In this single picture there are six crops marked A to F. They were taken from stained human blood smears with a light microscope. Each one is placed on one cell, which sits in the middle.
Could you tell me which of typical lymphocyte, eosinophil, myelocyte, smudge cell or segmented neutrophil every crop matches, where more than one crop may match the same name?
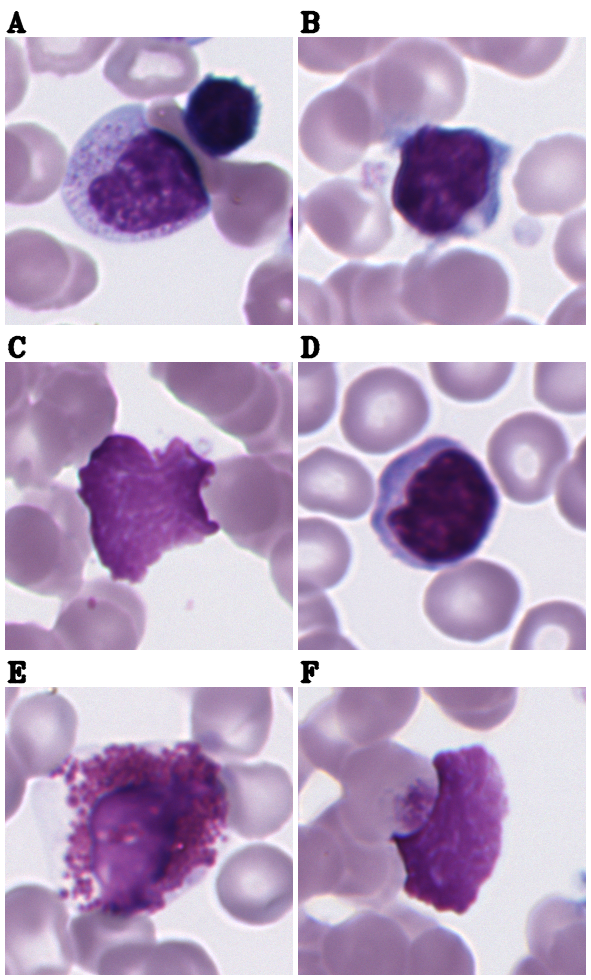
A: myelocyte
B: typical lymphocyte
C: smudge cell
D: typical lymphocyte
E: eosinophil
F: smudge cell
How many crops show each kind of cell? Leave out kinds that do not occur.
typical lymphocyte: 2
smudge cell: 2
myelocyte: 1
eosinophil: 1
